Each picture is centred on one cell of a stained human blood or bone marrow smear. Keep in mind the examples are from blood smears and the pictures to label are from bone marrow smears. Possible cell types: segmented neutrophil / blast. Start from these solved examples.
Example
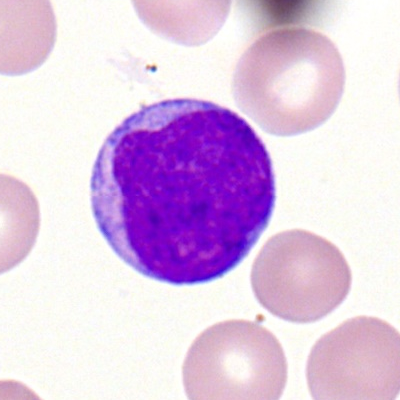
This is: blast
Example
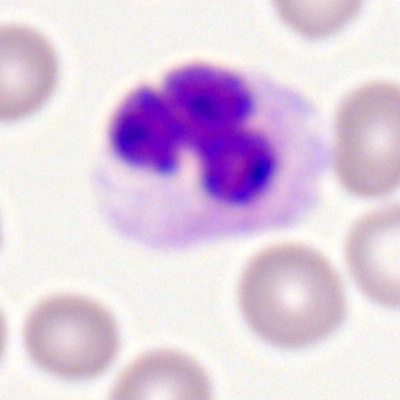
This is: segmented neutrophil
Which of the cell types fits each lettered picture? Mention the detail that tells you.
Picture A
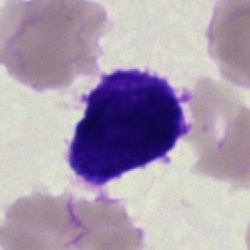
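Label: blast. The cytoplasm is scant, showing only as a thin rim at the edge.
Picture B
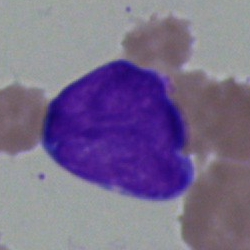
Label: blast. At most a very thin rim of cytoplasm is visible around the nucleus.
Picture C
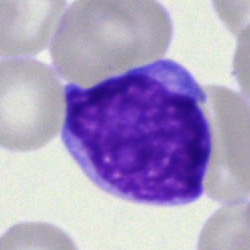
Label: blast. The nucleus fills most of the cell.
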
